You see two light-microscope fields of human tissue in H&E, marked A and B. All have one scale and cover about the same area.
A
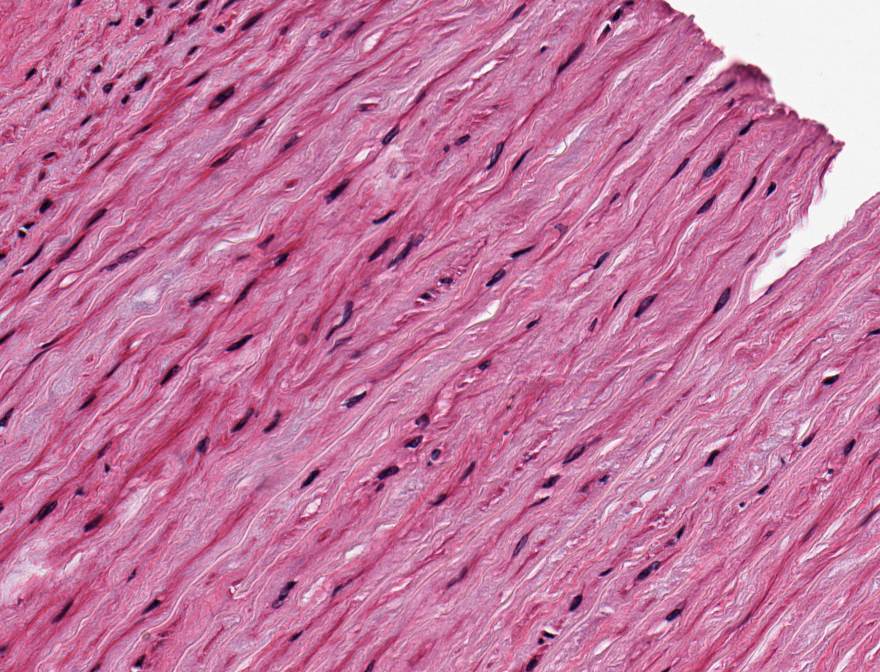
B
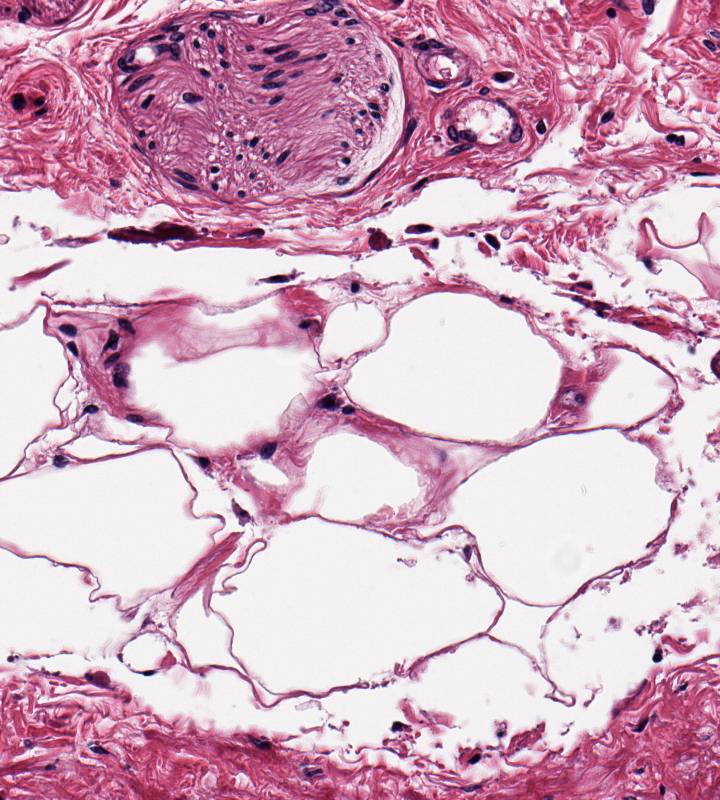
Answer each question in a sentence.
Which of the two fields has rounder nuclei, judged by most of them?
The nuclei are rounder in field B.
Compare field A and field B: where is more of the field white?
More of field B is empty and white.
